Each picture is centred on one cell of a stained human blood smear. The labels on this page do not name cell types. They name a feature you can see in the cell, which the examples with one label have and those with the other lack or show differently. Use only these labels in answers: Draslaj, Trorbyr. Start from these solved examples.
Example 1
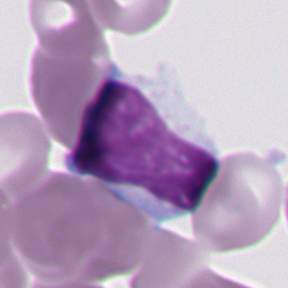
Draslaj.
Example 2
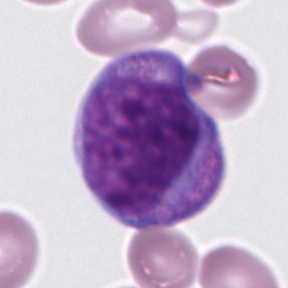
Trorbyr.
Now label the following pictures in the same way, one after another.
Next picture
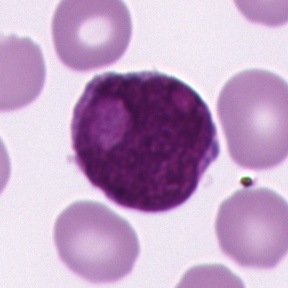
Draslaj.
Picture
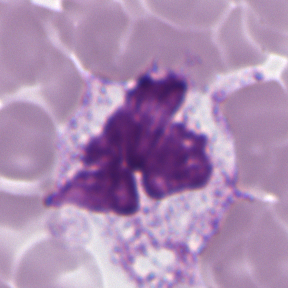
Draslaj.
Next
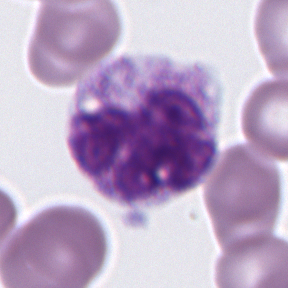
Draslaj.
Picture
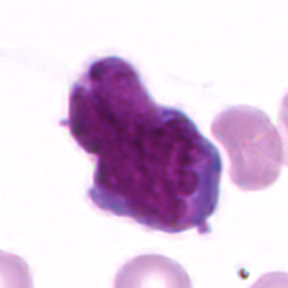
Draslaj.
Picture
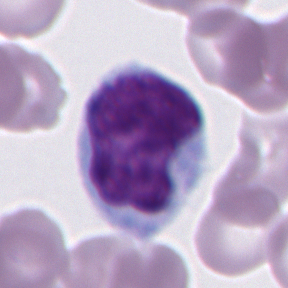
Trorbyr.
